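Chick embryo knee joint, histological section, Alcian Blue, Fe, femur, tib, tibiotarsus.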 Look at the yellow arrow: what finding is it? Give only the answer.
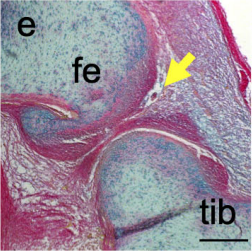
The initiation of cavitation.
